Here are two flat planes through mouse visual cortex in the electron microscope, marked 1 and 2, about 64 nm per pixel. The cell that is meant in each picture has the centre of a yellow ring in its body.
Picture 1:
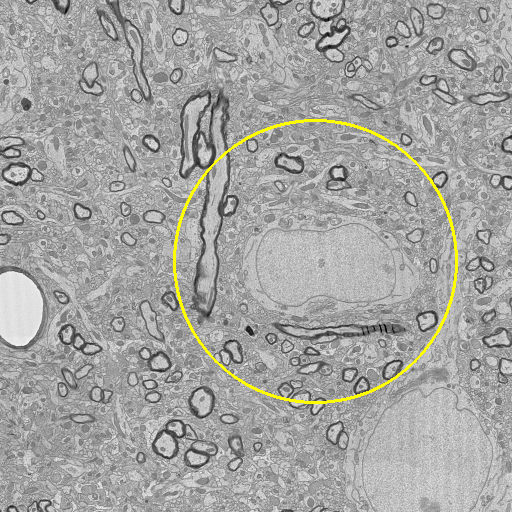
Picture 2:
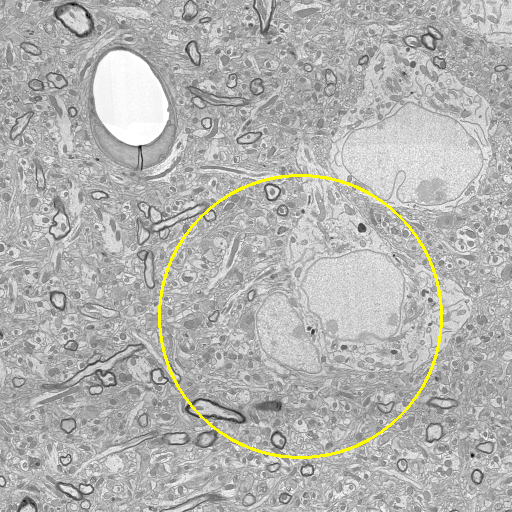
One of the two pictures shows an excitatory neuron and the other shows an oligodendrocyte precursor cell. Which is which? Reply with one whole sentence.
Picture 1 shows an excitatory neuron and picture 2 shows an oligodendrocyte precursor cell.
